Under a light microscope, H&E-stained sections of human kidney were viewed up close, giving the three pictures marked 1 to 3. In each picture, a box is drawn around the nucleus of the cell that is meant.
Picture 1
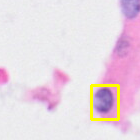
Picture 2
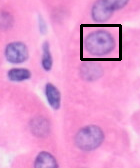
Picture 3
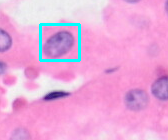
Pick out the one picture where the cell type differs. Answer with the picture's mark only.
1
